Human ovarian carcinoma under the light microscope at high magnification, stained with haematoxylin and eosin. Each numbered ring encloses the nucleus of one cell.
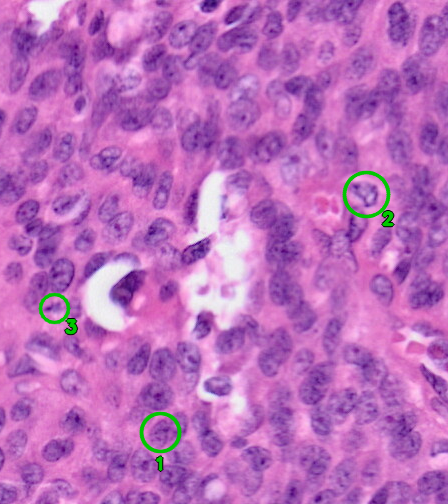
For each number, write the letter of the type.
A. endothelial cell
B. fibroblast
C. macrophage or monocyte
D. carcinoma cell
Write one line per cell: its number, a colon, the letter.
1: D
2: C
3: D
